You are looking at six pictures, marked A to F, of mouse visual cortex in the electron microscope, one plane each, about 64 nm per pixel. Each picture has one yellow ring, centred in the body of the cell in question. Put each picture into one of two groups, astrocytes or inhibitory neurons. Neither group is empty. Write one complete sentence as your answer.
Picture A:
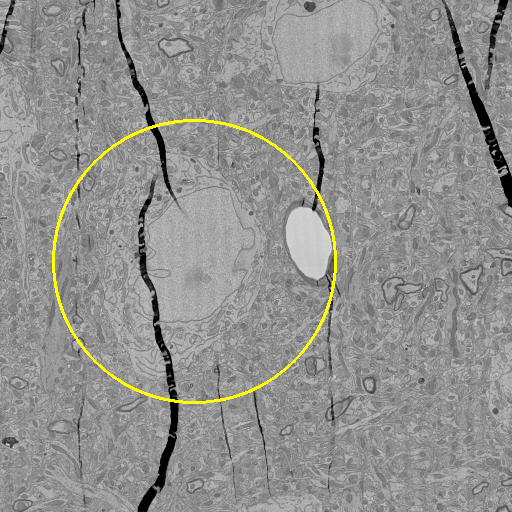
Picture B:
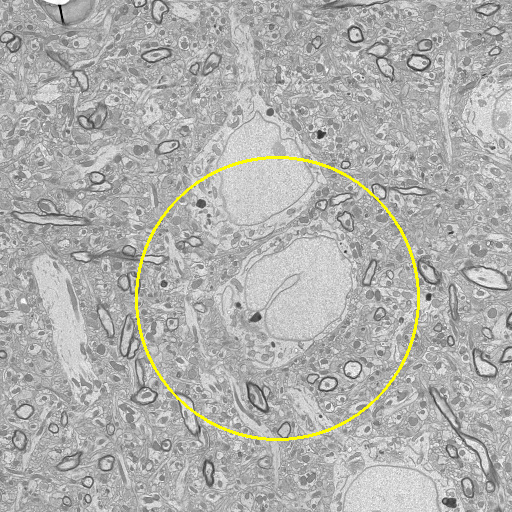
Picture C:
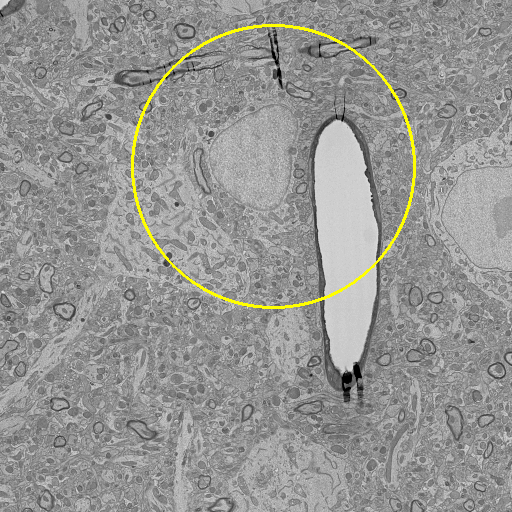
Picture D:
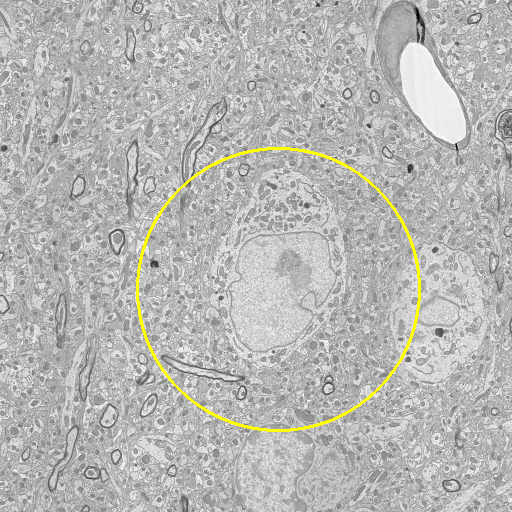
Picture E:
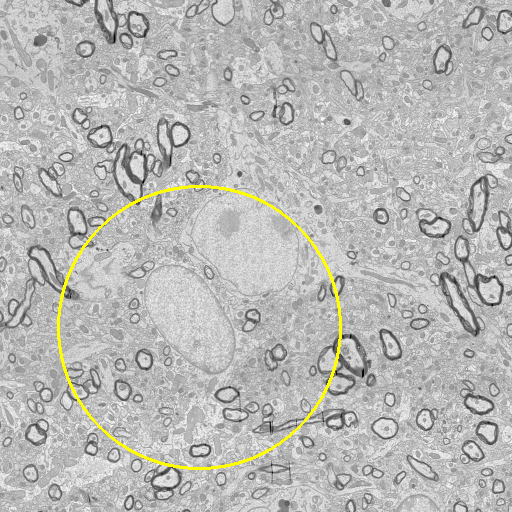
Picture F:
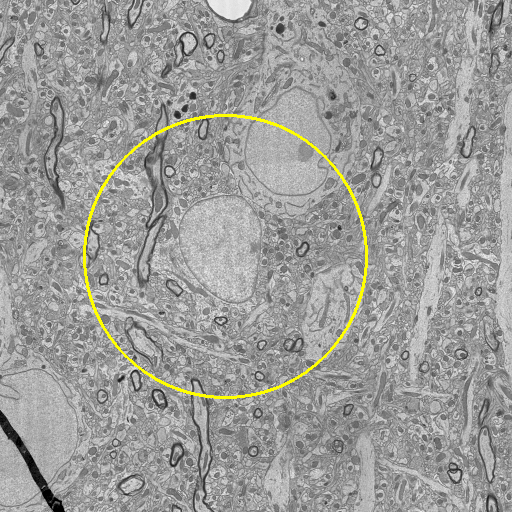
Pictures C, E and F show astrocytes, and pictures A, B and D show inhibitory neurons.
